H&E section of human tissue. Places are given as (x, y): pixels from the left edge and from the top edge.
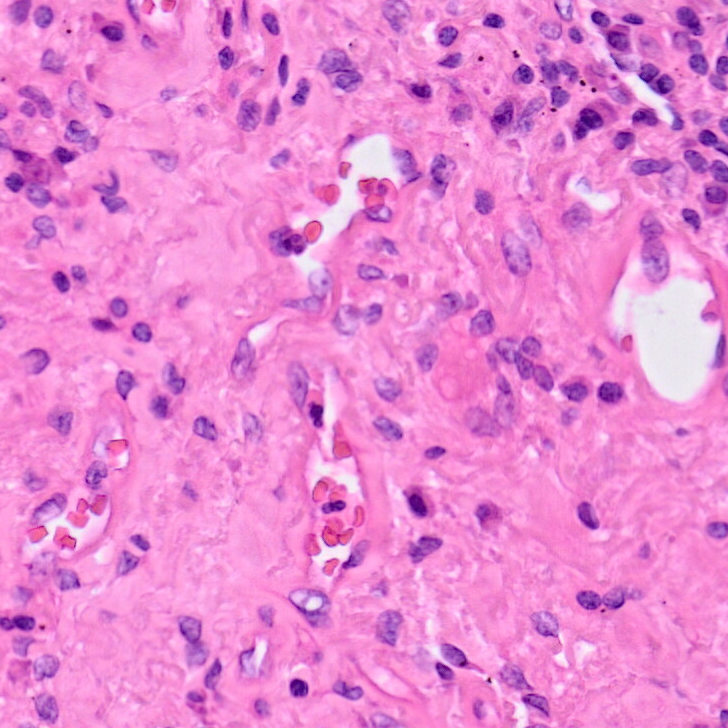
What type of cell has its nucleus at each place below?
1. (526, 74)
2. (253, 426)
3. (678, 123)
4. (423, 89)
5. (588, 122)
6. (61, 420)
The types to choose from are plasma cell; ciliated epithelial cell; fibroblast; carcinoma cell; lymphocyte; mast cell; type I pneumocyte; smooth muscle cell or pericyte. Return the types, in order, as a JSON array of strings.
["lymphocyte", "fibroblast", "lymphocyte", "plasma cell", "plasma cell", "fibroblast"]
